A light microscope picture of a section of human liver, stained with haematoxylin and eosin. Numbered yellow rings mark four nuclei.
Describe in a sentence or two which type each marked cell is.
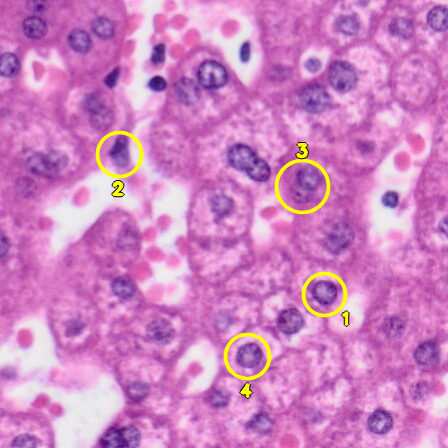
Cells 1, 3 and 4 are hepatocytes. Cell 2 is a Kupffer cell.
